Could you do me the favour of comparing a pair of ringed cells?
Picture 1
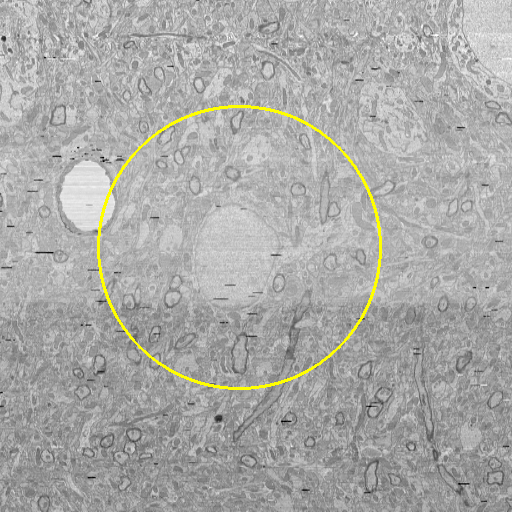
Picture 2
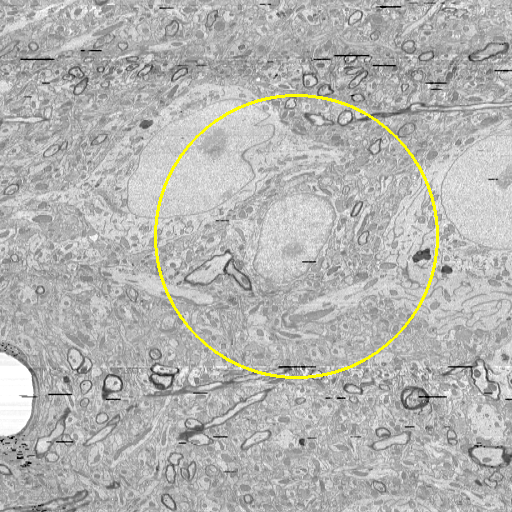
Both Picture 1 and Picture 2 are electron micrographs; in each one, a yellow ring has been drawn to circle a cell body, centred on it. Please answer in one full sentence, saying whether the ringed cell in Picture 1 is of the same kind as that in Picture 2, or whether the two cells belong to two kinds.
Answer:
The ringed cell in Picture 1 is of the same kind as that in Picture 2.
